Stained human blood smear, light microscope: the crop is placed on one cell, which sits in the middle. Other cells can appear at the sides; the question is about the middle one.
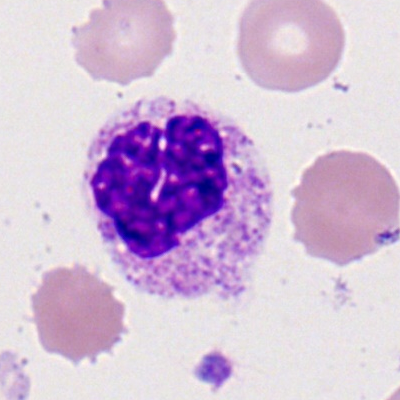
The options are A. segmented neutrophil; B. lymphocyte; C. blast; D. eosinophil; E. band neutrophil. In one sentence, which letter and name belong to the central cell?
Option E is right, the centrally situated cell being a band neutrophil.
